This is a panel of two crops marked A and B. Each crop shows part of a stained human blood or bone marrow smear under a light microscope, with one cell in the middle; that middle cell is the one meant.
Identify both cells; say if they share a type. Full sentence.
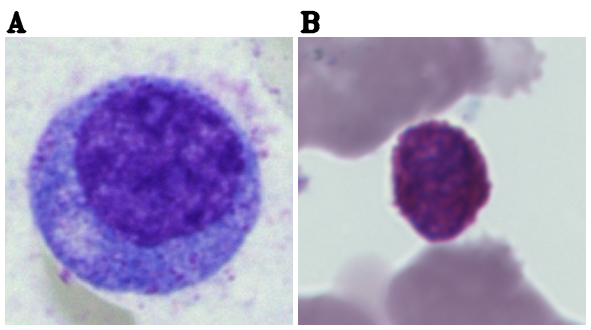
No, crop A is home to a promyelocyte, and crop B to an eosinophil.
